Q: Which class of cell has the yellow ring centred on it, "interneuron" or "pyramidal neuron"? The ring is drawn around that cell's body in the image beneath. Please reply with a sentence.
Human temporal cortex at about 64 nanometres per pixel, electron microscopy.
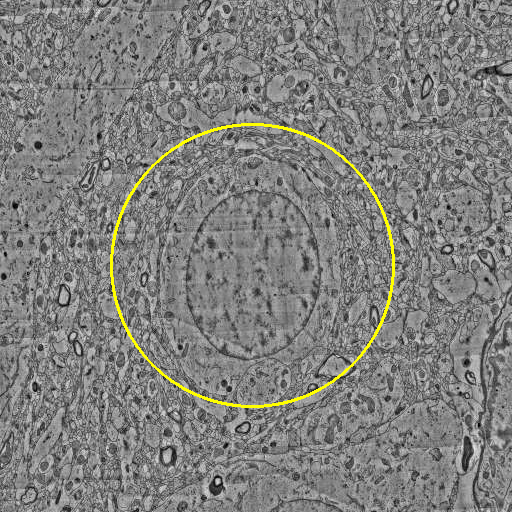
It is centred on a pyramidal neuron.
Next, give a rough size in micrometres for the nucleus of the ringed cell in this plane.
About 11 by 9 micrometers, in this plane.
